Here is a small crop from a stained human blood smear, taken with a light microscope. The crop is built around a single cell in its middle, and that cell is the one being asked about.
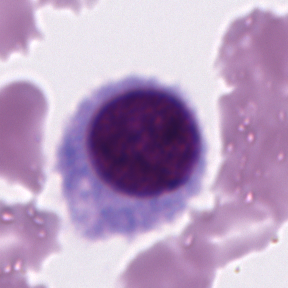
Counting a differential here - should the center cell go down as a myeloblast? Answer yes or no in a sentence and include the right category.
No, the centered cell is a hairy cell and not a myeloblast at all.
